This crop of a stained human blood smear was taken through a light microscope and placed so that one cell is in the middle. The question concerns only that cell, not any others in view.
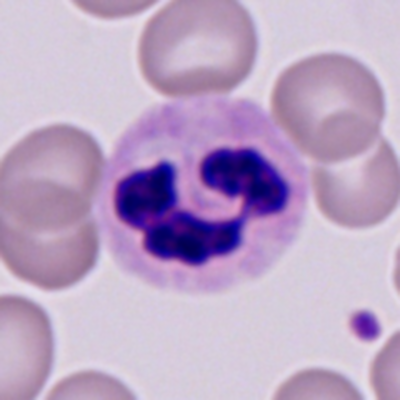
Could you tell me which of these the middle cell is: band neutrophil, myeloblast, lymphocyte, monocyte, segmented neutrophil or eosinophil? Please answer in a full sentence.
The cell the crop is centered on is a segmented neutrophil.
